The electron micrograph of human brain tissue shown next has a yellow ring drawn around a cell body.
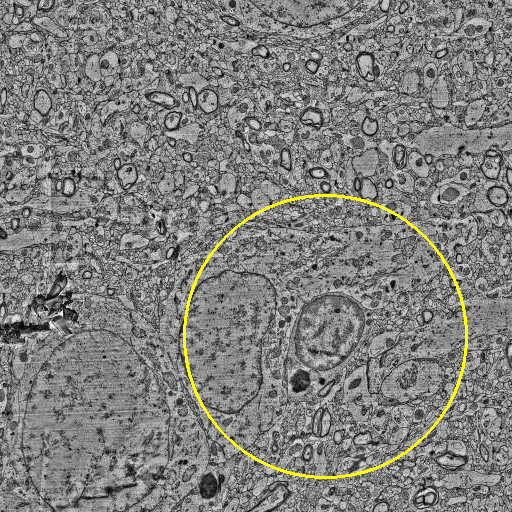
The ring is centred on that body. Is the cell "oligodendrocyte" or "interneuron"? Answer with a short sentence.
The cell in question is an oligodendrocyte.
